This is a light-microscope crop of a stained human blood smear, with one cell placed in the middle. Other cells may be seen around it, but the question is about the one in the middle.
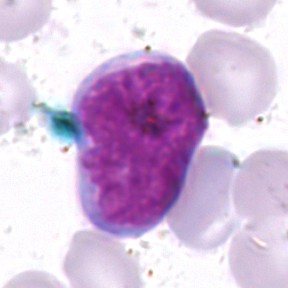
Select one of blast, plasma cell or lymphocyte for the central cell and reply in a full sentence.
The cell that lies at the centre of the crop is a blast.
